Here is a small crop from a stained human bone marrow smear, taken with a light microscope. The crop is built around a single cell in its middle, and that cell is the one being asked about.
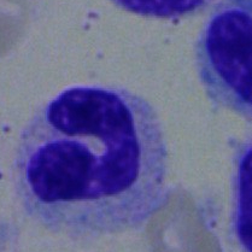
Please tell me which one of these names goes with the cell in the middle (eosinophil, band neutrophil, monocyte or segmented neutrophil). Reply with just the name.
segmented neutrophil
